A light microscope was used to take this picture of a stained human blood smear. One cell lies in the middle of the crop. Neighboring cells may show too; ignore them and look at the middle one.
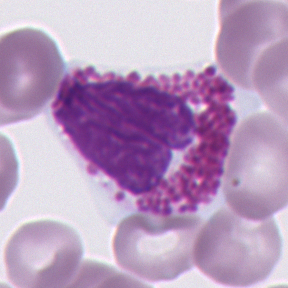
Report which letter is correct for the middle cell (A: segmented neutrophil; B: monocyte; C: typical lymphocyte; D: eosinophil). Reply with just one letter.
D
